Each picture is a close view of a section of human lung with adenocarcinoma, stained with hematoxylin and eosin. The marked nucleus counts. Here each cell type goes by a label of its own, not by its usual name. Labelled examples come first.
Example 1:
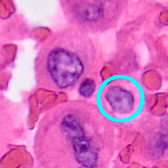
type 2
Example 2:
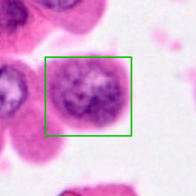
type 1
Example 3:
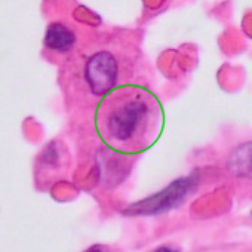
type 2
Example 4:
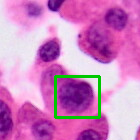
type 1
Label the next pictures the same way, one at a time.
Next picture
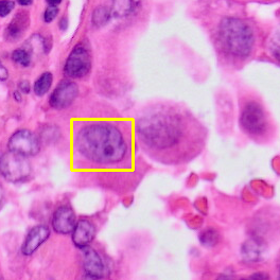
type 1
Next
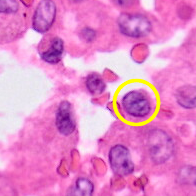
type 2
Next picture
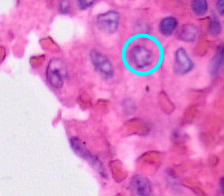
type 2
